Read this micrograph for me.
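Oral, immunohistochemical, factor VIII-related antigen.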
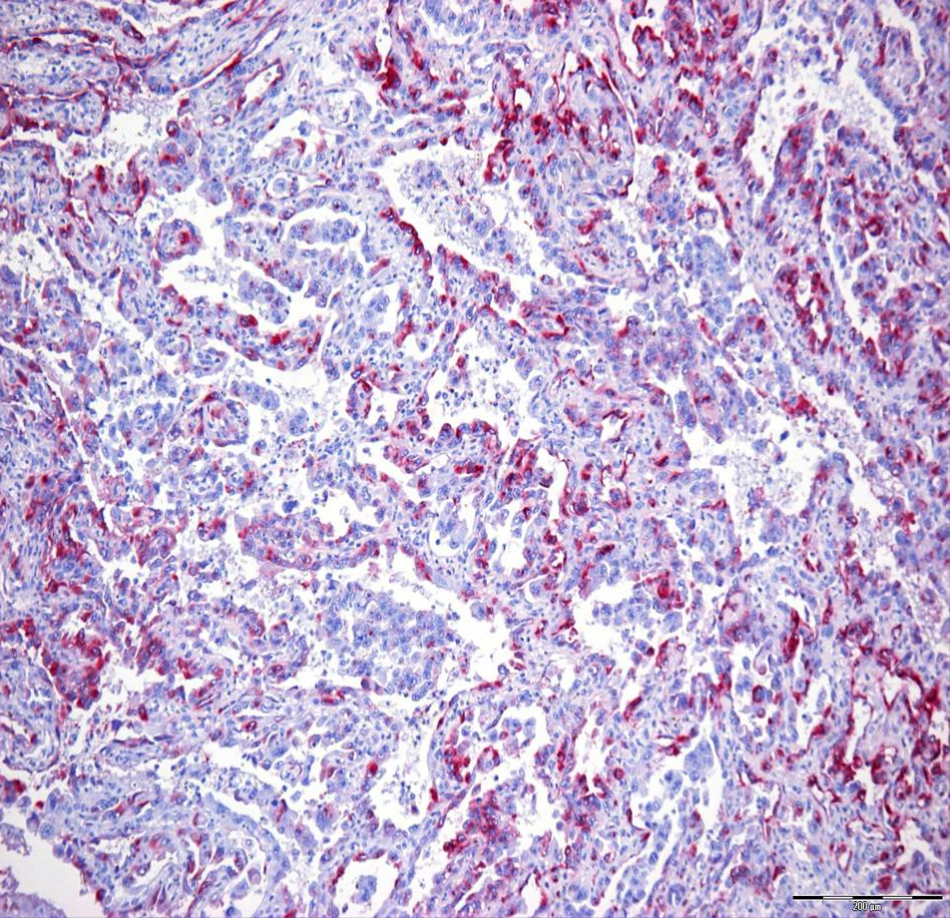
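This is a tumour made of irregular, branching and interconnecting vascular spaces lined and surrounded by plump tumour cells with blue-stained nuclei. Only a subset of the tumour cells lining the spaces have red-stained cytoplasm, and many neighbouring cells stay unstained. The spaces hold loose pale material and a few scattered cells.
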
